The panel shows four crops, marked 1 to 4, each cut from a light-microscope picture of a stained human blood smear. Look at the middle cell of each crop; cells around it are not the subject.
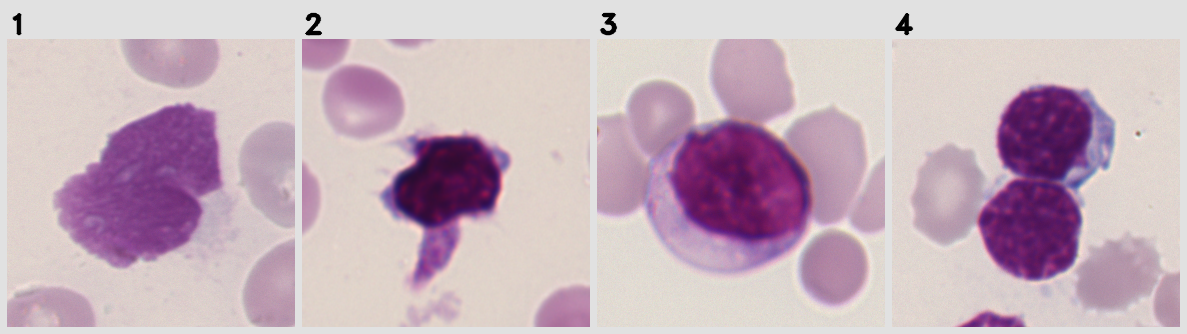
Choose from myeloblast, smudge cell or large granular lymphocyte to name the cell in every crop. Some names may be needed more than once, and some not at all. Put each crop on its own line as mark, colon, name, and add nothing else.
1: smudge cell
2: large granular lymphocyte
3: large granular lymphocyte
4: myeloblast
